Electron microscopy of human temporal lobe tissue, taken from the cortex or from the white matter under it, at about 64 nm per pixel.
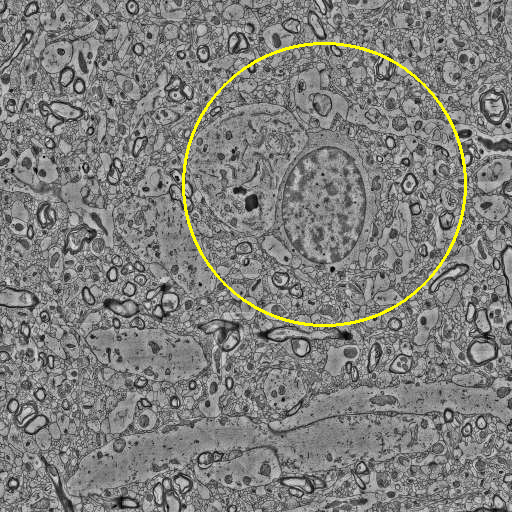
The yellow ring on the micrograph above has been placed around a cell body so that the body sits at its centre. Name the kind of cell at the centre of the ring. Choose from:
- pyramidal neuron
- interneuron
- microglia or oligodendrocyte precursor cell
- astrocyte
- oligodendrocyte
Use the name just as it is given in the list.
oligodendrocyte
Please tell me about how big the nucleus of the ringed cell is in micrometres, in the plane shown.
About 8 by 5 micrometers for the nucleus, in this plane.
